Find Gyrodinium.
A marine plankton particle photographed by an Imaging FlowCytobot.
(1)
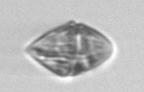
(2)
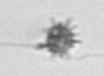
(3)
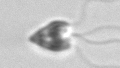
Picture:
1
